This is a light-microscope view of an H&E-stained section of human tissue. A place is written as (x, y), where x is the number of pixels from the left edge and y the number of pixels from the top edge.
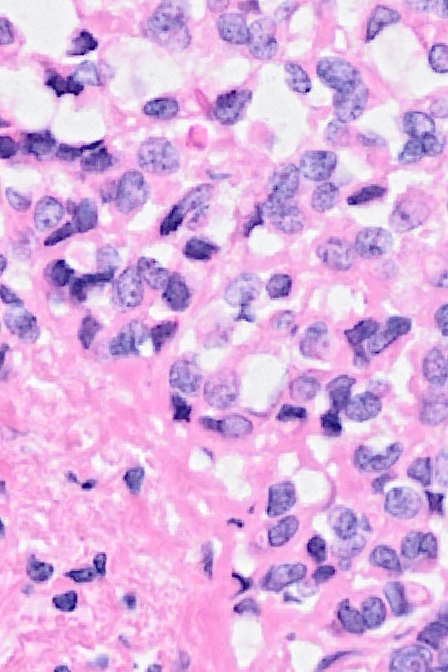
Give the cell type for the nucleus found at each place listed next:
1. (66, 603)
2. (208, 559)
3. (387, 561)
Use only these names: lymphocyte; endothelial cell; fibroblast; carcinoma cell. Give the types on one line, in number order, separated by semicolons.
lymphocyte; fibroblast; carcinoma cell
